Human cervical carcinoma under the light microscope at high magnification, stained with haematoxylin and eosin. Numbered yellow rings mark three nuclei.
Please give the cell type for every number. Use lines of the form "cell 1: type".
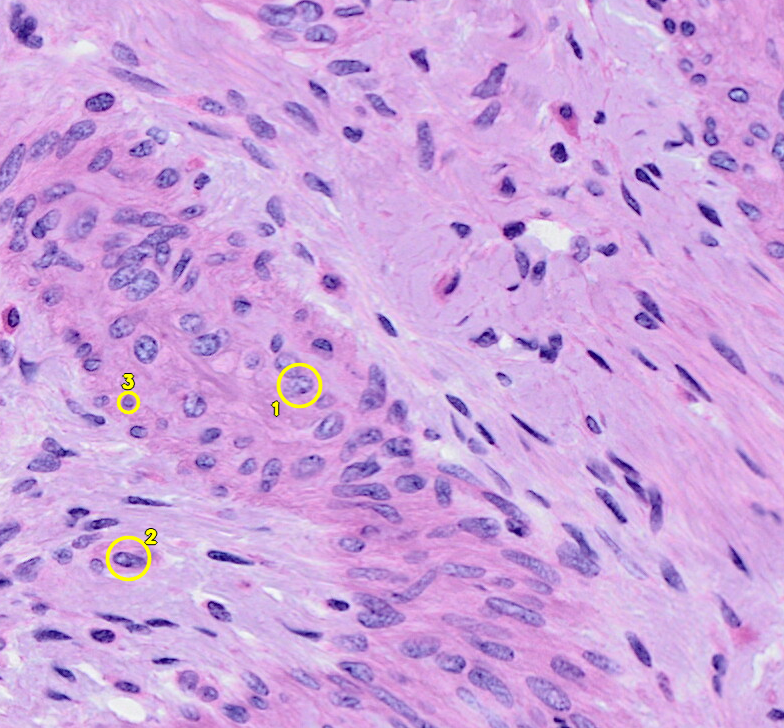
cell 1: smooth muscle cell
cell 2: endothelial cell
cell 3: smooth muscle cell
